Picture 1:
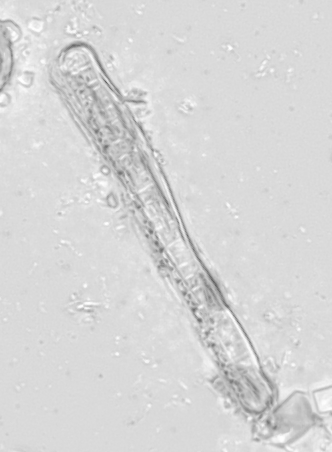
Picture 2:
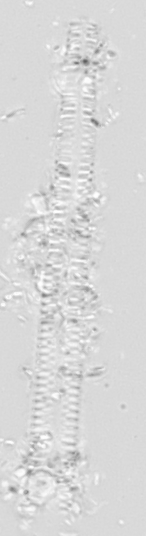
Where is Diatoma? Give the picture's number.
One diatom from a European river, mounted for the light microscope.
1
